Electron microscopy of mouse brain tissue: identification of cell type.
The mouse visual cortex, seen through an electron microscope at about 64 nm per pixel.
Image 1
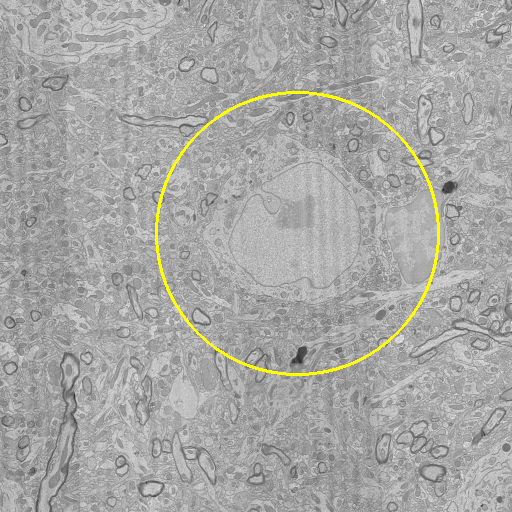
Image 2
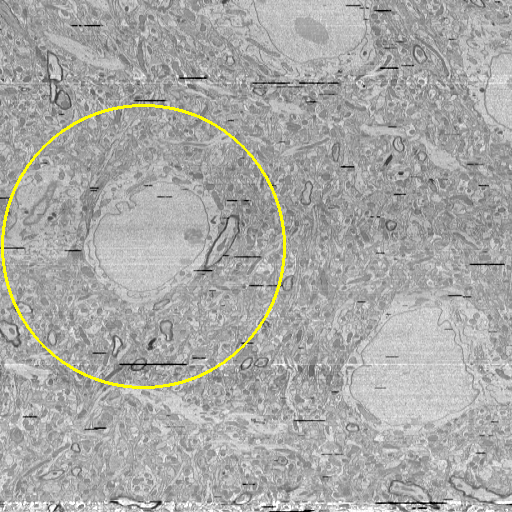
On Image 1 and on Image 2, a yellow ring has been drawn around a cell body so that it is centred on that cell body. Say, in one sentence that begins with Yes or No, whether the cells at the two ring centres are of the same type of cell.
Yes, both cells are the same type of cell.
